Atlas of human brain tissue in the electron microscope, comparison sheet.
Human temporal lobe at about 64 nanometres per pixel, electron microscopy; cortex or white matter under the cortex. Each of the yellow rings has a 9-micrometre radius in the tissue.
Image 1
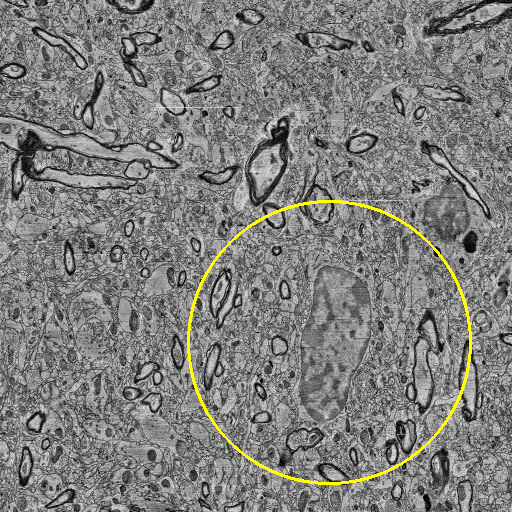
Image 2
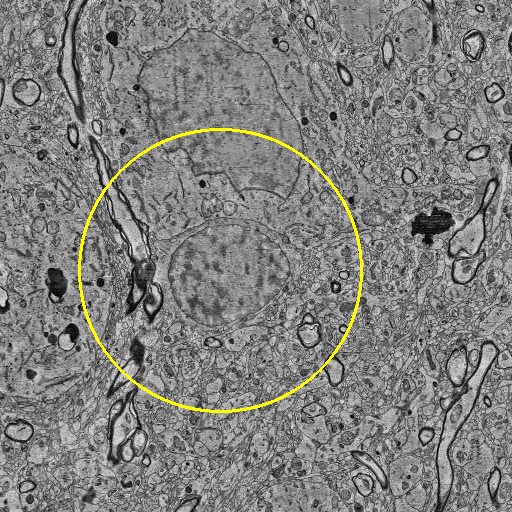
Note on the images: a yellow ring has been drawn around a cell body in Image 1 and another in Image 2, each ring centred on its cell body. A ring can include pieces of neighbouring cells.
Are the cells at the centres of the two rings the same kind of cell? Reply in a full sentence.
No, the two cells are of two kinds.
